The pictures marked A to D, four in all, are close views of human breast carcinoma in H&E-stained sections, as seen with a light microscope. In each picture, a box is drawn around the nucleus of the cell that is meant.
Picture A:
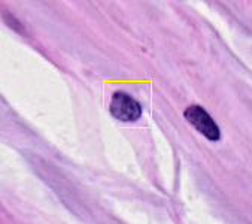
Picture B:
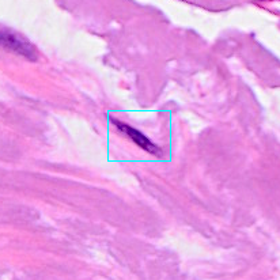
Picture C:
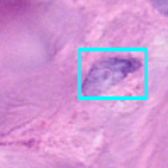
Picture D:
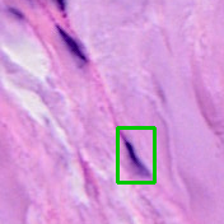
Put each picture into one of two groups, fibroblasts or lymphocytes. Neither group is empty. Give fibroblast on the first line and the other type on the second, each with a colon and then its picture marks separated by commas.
fibroblast: B, C, D
lymphocyte: A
